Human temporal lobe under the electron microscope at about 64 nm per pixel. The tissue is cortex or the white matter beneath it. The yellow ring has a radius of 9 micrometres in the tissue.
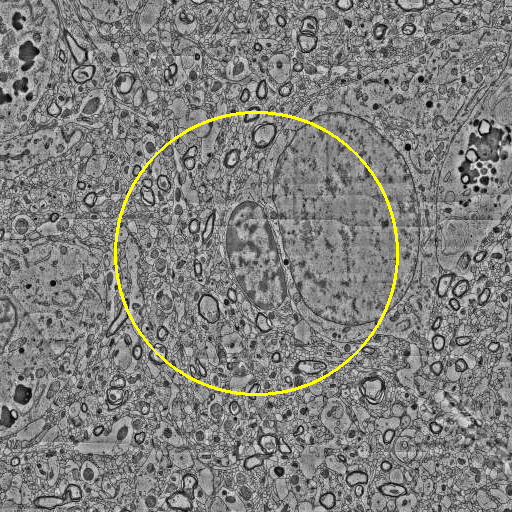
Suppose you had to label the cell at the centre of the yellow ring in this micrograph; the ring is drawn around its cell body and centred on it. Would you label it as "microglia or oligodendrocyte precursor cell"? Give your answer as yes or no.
Yes, I would label it that way.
